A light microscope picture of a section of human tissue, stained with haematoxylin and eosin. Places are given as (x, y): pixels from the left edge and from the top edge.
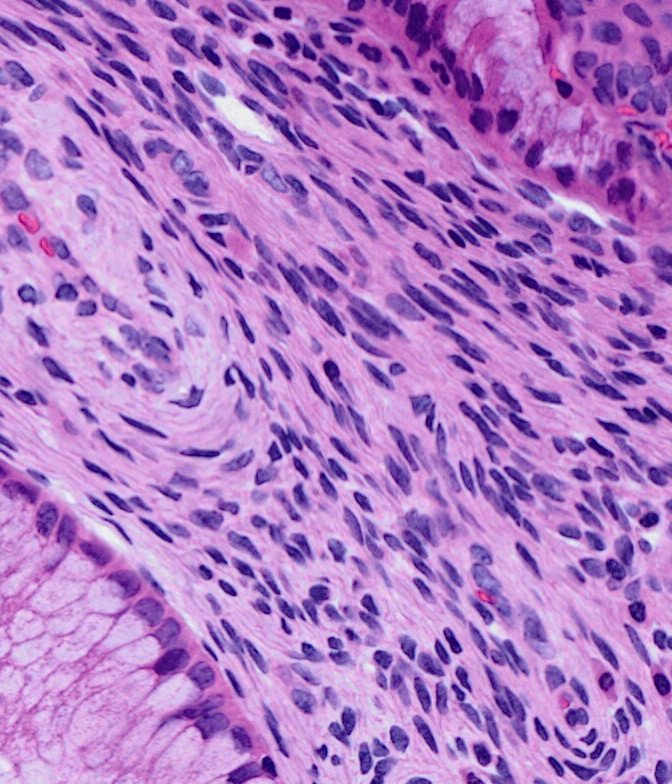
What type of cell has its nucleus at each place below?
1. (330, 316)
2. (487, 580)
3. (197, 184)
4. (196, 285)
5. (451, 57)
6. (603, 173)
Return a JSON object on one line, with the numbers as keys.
{"1": "fibroblast", "2": "endothelial cell", "3": "endothelial cell", "4": "fibroblast", "5": "secretory epithelial cell", "6": "secretory epithelial cell"}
